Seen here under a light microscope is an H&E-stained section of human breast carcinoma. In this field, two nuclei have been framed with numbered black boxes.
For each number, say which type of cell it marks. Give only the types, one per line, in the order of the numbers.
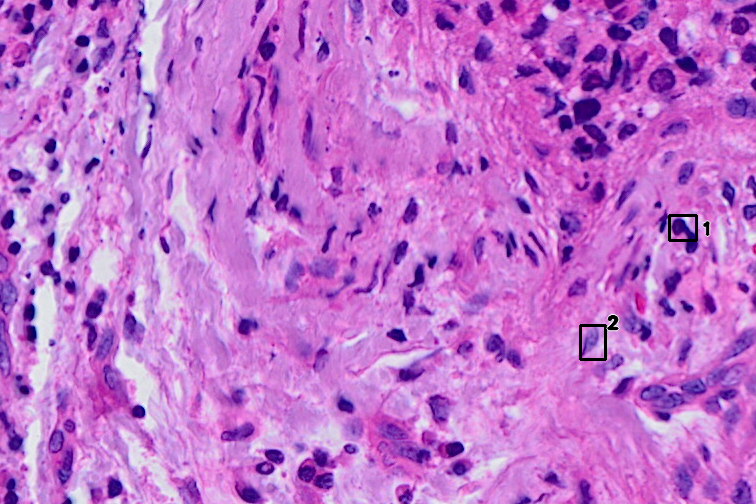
lymphocyte
fibroblast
